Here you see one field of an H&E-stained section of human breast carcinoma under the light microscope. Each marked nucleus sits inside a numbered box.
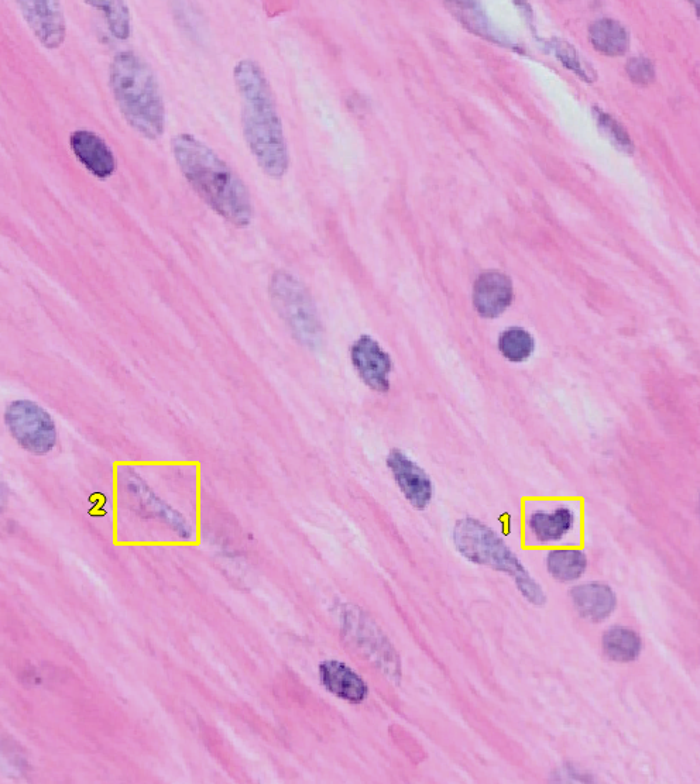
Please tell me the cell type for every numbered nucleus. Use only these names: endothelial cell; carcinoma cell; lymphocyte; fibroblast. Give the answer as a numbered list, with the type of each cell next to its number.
1. lymphocyte
2. fibroblast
